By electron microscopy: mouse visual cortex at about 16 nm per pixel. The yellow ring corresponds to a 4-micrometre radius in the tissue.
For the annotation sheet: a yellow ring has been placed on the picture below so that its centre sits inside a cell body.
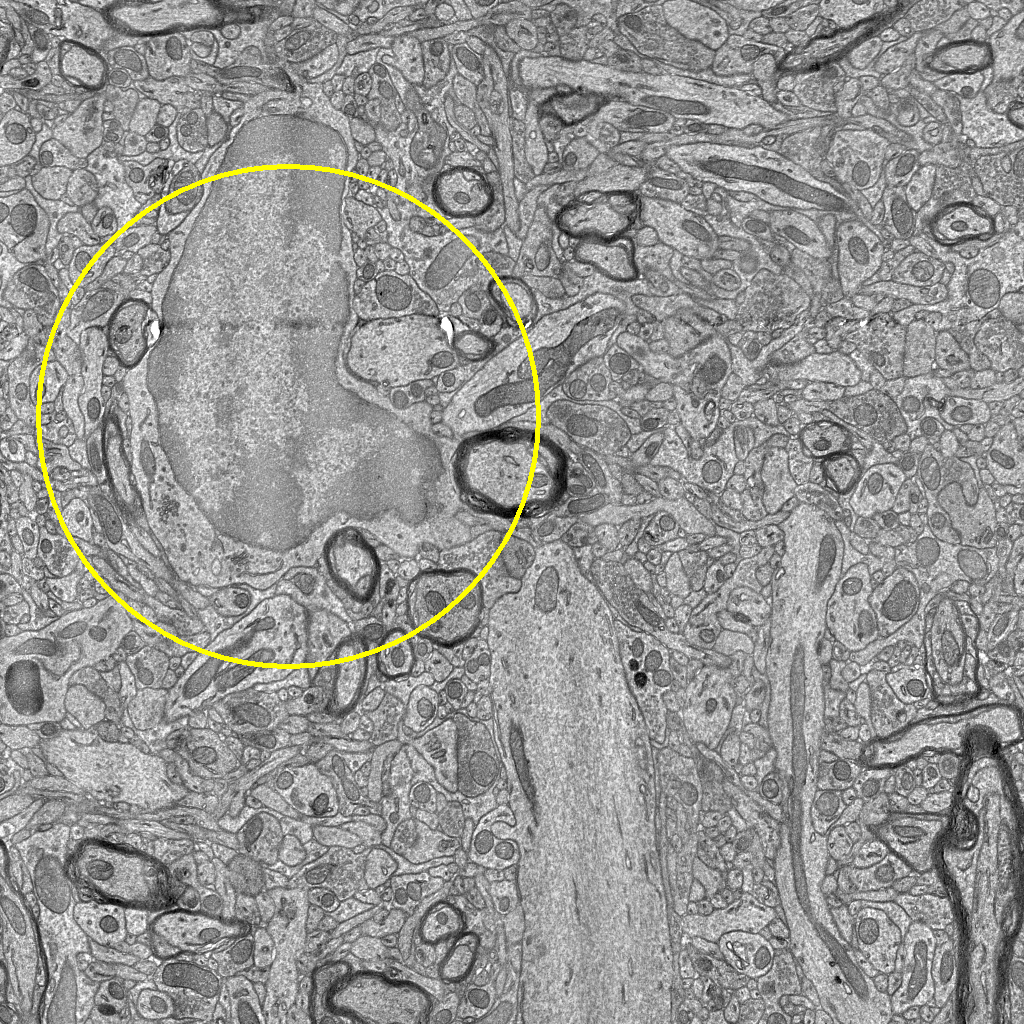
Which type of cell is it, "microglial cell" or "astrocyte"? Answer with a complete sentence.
The cell at the ring's centre is a microglial cell.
